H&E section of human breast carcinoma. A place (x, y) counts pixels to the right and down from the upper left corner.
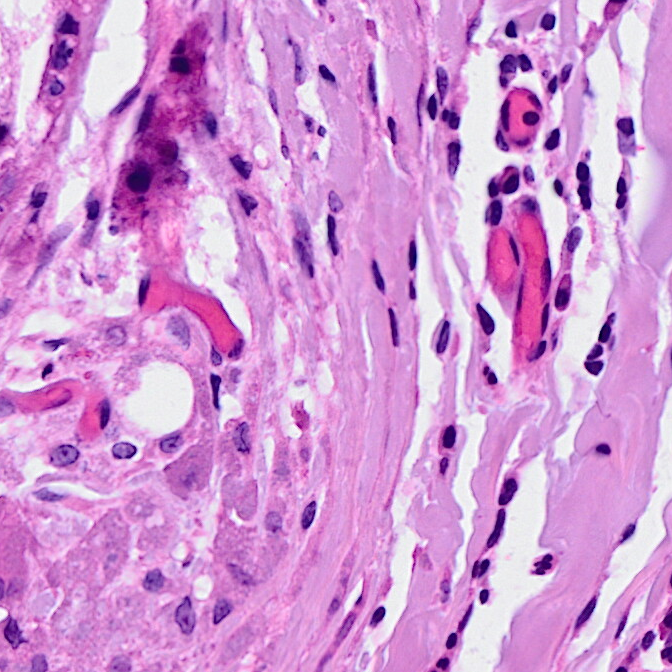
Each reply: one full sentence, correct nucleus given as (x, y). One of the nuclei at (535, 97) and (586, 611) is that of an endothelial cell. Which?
Of the two, the nucleus at (535, 97) is the one contained in an endothelial cell.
